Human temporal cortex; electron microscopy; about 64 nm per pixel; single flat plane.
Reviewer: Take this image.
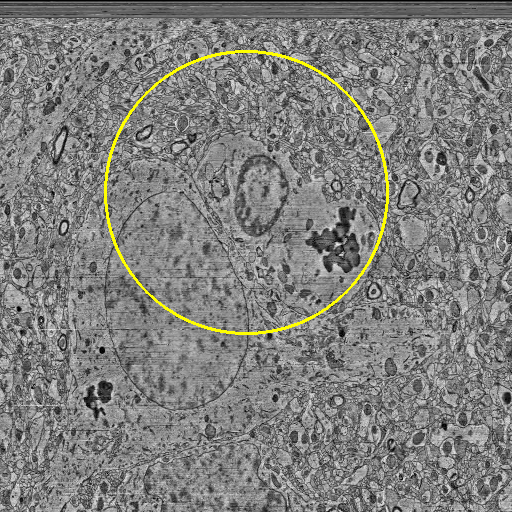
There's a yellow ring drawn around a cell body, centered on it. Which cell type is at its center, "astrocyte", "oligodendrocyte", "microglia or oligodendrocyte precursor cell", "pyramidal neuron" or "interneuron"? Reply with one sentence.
At the center of the yellow ring is an astrocyte.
